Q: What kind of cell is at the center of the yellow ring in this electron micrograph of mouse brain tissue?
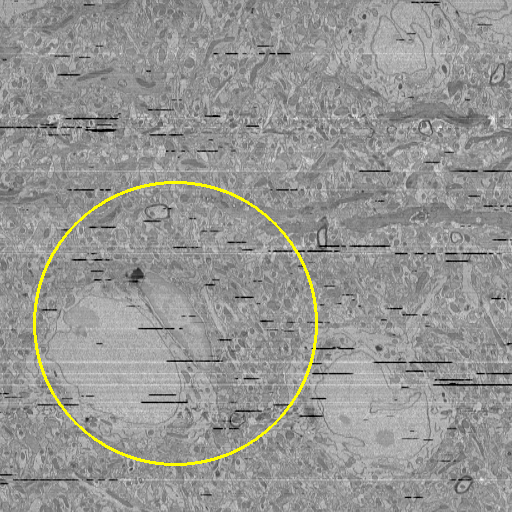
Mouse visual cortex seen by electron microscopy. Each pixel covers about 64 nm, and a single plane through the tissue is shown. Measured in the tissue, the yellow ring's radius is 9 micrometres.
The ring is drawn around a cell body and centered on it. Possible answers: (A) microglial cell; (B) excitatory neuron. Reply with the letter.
A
